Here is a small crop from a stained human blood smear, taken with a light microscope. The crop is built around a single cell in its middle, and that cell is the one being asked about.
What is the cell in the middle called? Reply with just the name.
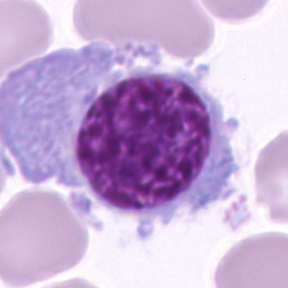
plasma cell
